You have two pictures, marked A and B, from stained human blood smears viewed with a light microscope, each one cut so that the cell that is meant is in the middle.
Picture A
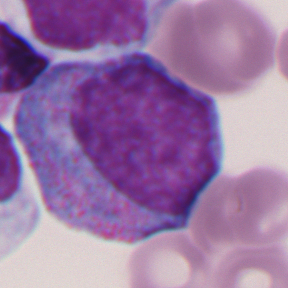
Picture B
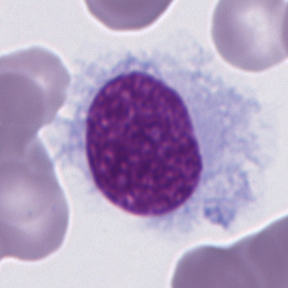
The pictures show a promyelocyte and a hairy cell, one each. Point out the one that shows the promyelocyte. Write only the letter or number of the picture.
A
